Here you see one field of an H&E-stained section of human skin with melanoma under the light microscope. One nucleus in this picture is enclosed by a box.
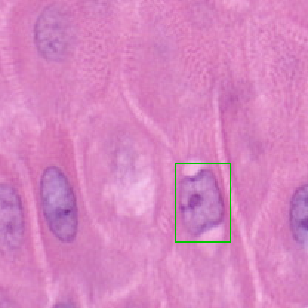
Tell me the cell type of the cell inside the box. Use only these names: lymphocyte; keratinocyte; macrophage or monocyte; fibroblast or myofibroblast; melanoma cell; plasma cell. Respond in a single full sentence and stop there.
In the tissue at hand, the cell inside the box is a keratinocyte.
